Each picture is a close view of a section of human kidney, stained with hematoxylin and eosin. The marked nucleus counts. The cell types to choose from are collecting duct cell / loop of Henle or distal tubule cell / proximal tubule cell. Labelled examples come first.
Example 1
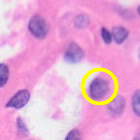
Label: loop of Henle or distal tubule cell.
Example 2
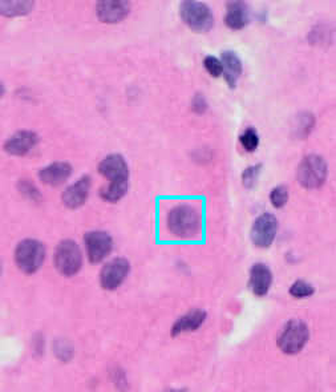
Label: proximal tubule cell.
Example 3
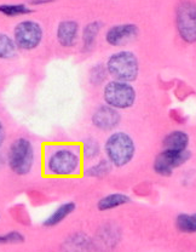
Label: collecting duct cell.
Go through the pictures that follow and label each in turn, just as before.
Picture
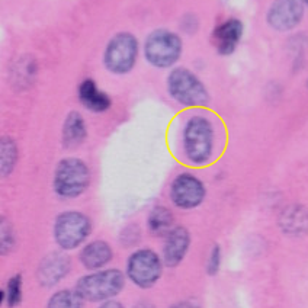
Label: collecting duct cell.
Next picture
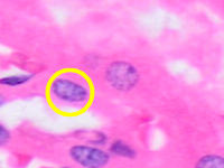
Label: collecting duct cell.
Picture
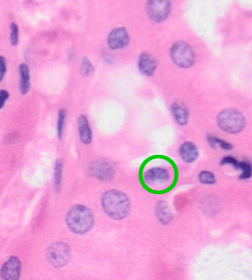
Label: loop of Henle or distal tubule cell.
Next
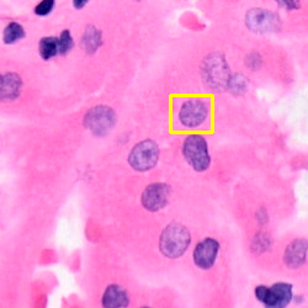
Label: proximal tubule cell.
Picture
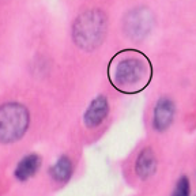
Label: loop of Henle or distal tubule cell.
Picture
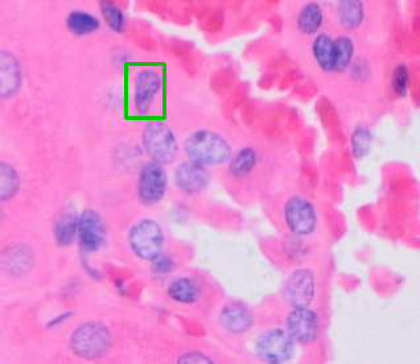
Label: collecting duct cell.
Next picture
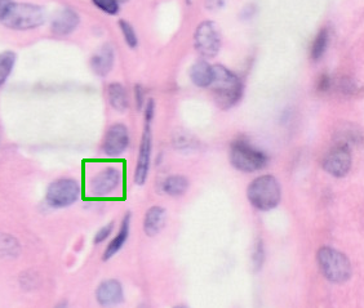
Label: collecting duct cell.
